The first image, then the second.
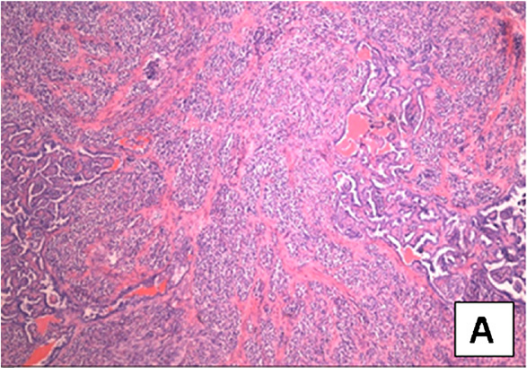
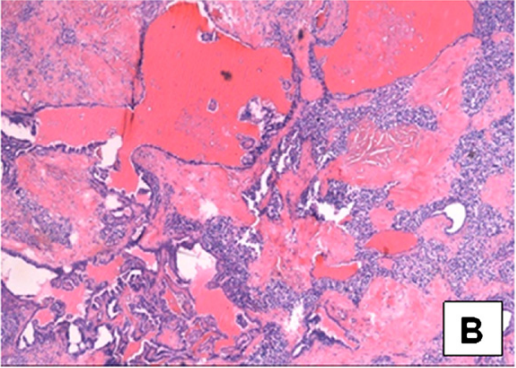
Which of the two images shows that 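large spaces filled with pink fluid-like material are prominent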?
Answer: The second image.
